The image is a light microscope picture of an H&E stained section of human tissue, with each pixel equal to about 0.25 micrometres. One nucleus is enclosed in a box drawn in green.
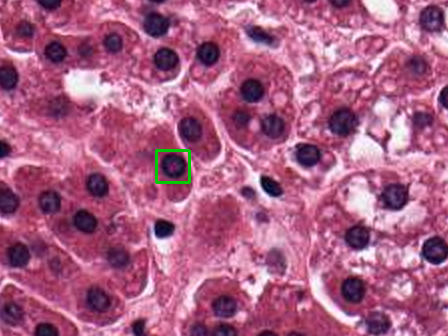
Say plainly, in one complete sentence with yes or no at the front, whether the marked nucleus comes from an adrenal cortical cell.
Yes, the nucleus picked out by the mark belongs to an adrenal cortical cell.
